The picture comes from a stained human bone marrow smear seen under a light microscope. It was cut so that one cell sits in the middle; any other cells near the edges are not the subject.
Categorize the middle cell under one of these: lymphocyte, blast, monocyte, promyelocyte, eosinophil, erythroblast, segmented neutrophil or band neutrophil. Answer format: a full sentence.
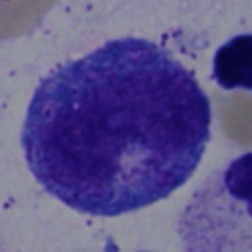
The central cell shown in this smear crop is a promyelocyte.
